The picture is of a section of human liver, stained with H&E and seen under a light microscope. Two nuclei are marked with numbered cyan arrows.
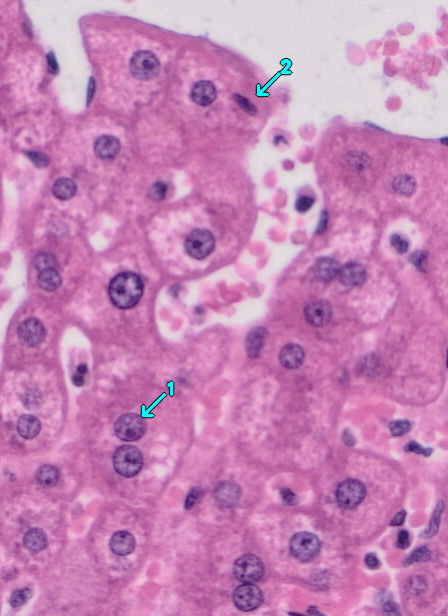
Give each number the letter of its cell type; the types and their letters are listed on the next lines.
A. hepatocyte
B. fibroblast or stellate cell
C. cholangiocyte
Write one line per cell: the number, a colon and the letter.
1: A
2: B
